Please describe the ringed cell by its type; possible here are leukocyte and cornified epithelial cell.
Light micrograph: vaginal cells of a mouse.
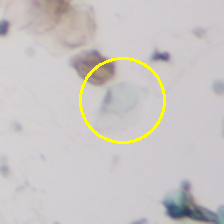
The yellow ring marks a cornified epithelial cell.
